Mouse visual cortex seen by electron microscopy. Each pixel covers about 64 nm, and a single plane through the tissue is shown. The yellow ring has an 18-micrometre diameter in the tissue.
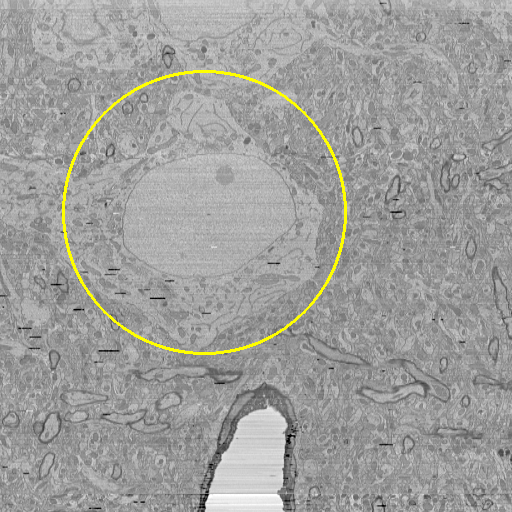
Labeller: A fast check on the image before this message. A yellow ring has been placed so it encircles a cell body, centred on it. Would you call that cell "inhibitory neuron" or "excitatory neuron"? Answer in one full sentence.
In this image, an excitatory neuron is the cell on which the yellow ring is centred.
